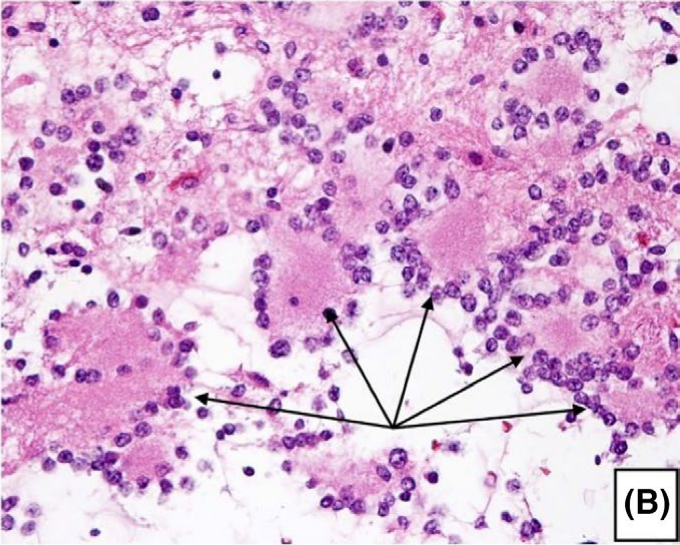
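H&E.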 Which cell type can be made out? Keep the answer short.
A: Neurocytes.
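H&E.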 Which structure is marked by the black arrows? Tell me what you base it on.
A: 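Small round nuclei arranged in rings.
Rosettes.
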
